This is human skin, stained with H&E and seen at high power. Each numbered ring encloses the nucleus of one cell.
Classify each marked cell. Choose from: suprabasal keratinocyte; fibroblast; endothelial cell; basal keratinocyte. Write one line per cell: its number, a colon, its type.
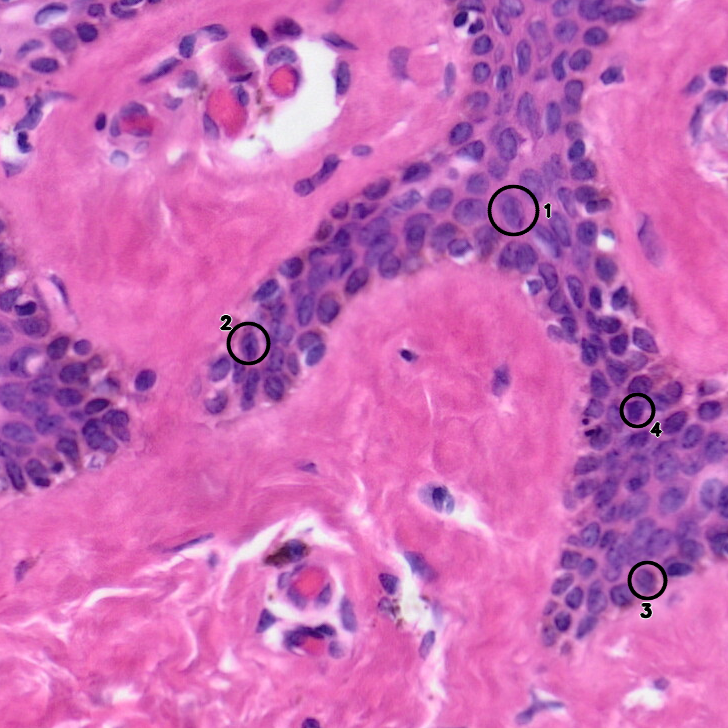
1: suprabasal keratinocyte
2: basal keratinocyte
3: basal keratinocyte
4: basal keratinocyte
